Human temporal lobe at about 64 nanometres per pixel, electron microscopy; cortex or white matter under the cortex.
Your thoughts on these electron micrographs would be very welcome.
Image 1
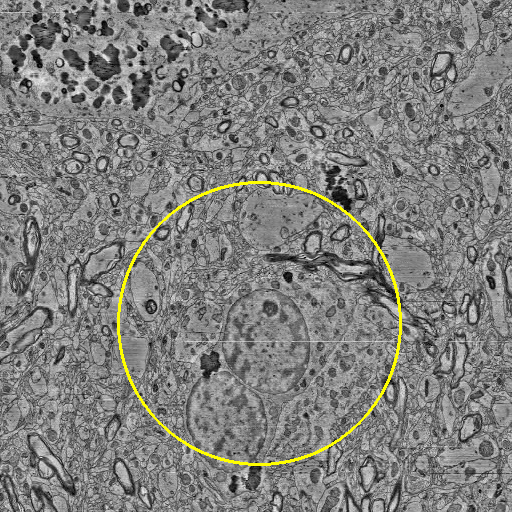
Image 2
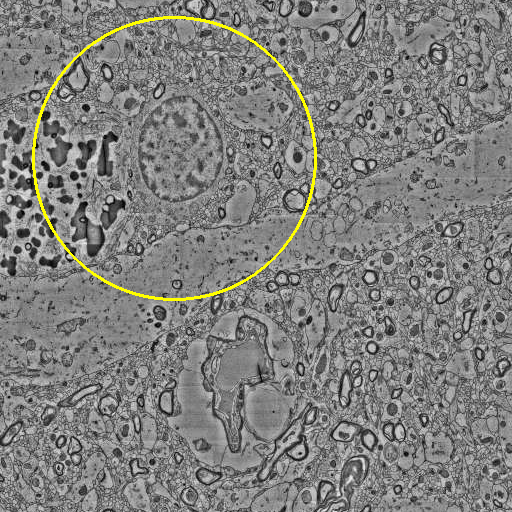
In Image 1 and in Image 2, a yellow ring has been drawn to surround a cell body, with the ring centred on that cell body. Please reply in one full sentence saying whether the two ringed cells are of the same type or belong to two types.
The ringed cells in Image 1 and Image 2 are of the same type.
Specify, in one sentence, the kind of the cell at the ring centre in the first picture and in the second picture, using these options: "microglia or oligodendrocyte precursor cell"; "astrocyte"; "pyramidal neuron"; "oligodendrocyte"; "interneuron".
Each of the two pictures has an oligodendrocyte at the ring centre.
